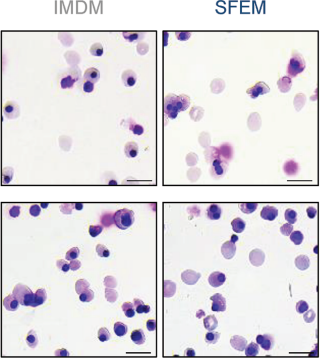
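Two kinds of cell lie side by side. Some keep a small, round, dense dark purple nucleus, often set to one side, in a rim of bluish-grey to pinkish cytoplasm. Others have no nucleus and appear as smaller, smooth, pale pink to lilac discs. Cells lie mostly singly, with a few loose clusters where nucleated cells touch one another.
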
